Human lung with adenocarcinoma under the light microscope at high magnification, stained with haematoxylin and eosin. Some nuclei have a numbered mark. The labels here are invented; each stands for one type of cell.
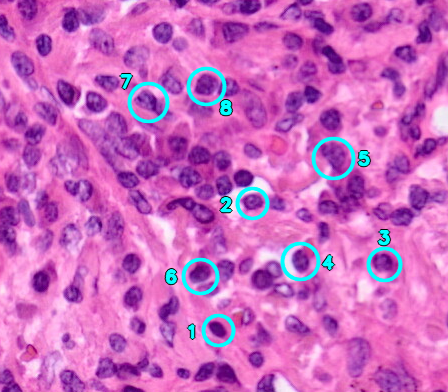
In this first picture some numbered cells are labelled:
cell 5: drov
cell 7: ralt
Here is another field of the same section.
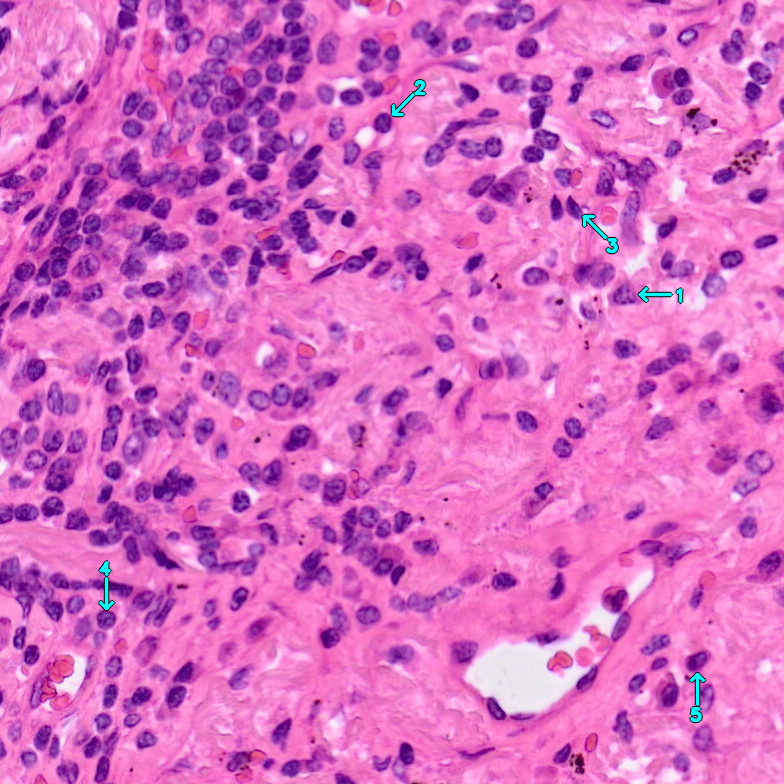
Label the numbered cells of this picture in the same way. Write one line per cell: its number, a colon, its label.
1: drov
2: ralt
3: ralt
4: ralt
5: drov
